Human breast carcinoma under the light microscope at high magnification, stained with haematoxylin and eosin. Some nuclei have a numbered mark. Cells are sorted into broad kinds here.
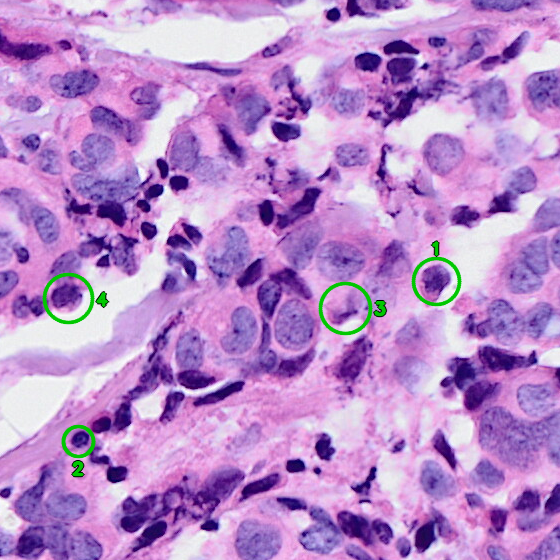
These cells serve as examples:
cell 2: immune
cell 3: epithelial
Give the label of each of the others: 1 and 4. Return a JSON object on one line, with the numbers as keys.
{"1": "epithelial", "4": "epithelial"}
